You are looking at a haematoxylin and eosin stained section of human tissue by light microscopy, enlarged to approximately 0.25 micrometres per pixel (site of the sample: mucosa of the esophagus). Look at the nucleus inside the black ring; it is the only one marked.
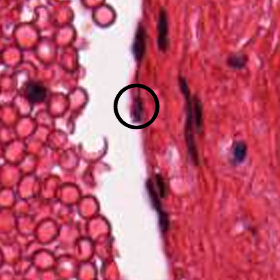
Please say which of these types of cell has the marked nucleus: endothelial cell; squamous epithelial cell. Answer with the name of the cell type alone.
endothelial cell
